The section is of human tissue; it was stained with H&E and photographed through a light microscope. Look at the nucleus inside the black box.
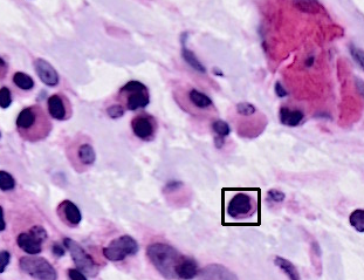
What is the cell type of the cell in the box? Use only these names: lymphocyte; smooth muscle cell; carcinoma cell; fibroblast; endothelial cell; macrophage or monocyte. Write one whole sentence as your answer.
Placed in its cell category, the cell in the box is a lymphocyte.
